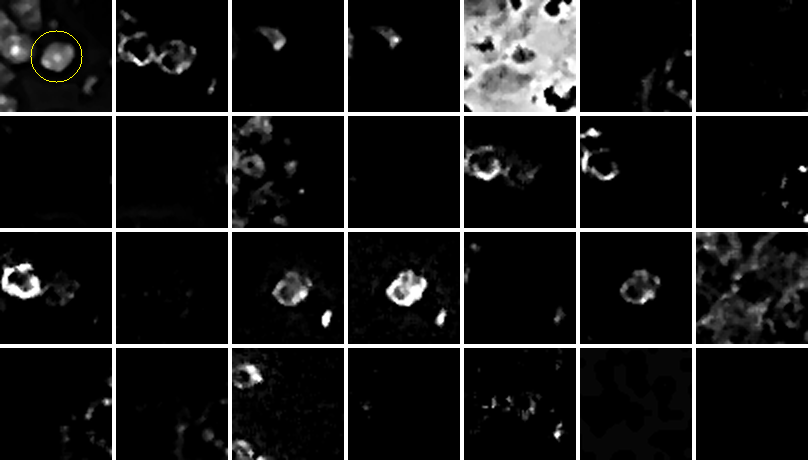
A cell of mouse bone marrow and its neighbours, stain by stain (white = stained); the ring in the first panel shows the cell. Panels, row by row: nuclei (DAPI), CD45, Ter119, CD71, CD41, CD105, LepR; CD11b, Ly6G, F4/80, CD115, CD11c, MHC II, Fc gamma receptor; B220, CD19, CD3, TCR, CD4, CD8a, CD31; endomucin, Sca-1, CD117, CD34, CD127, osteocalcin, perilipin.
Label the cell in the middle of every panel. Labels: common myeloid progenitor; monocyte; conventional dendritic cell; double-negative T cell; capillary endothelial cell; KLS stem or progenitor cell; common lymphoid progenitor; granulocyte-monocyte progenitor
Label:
double-negative T cell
